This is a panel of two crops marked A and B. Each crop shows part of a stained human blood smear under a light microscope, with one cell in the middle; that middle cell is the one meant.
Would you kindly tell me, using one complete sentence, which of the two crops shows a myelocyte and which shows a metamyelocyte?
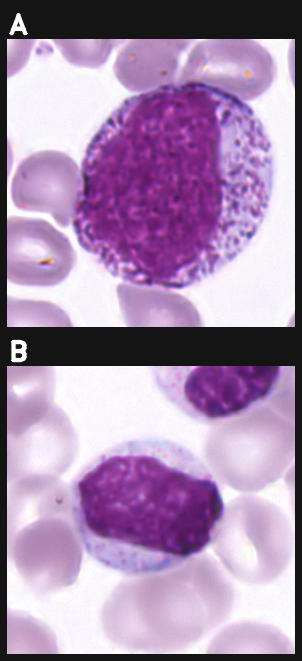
Crop A corresponds to a myelocyte, and crop B corresponds to a metamyelocyte.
